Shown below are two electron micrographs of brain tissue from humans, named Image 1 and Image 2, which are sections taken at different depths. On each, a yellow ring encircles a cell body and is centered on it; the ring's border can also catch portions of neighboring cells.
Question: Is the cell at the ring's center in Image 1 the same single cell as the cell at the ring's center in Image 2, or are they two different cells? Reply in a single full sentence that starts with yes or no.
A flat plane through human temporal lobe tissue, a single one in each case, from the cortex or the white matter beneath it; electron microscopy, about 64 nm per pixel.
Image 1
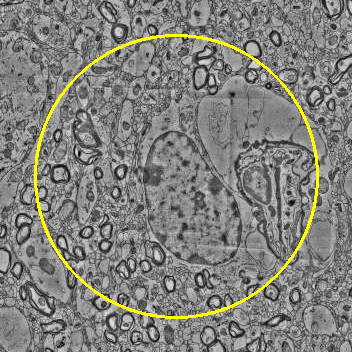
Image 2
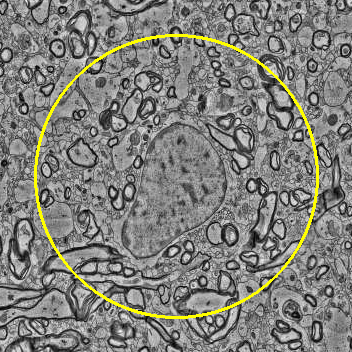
No, one ring and the other ring mark two distinct cells.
